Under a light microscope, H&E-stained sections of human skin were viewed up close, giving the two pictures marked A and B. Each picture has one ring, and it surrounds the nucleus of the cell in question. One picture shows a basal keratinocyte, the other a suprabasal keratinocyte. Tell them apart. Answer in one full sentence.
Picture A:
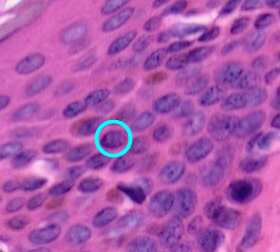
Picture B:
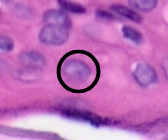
Picture B shows a suprabasal keratinocyte, while picture A shows a basal keratinocyte.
